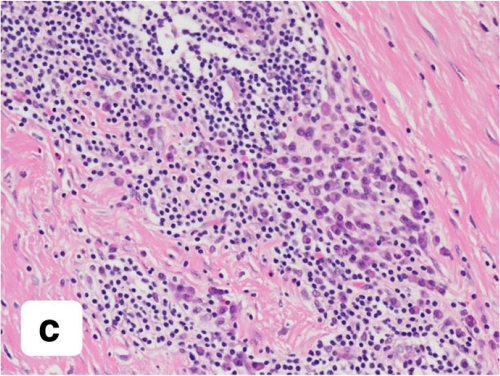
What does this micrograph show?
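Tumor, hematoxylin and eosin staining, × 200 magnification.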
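This shows an inflammatory cell aggregate within fibrous tissue, made of small lymphocytes and plasma cells. The lymphocytes are small round cells with dark round nuclei and very little cytoplasm, and they crowd the upper and left part of the field. Plasma cells, larger with eccentric nuclei and more abundant pink-purple cytoplasm, gather among them toward the lower right. Bands of pink collagen with spindle cells border the aggregate.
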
